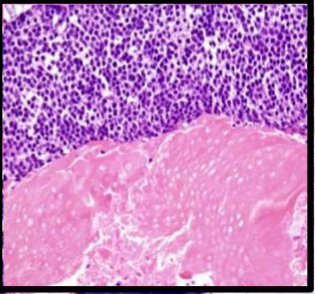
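This high-power view shows two kinds of tumor cells meeting along an irregular border: basophilic cells above and shadow cells below. The basophilic cells are small and densely crowded, with round dark purple nuclei and scant cytoplasm, forming a solid sheet. The transition between the two zones is abrupt.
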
